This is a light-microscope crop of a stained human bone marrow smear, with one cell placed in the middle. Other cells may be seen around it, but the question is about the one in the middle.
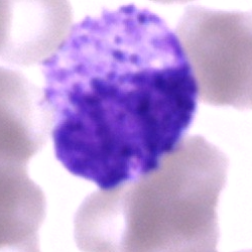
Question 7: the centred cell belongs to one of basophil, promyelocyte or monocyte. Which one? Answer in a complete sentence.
The single cell at the center of the crop is a basophil.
